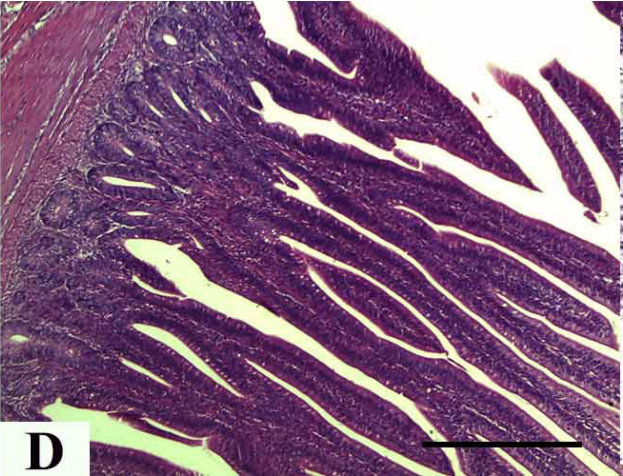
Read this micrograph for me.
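This is the intestinal wall, showing long intestinal villi rising from a base where crypts lie. The villi are slender, parallel finger-like projections covered by a columnar epithelium that stains deep purple, separated by clear spaces of the lumen. At their base, near the left, small round glandular profiles of the crypts are seen in the deeper mucosa. The layers are orderly, with no clusters of inflammatory cells standing out.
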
